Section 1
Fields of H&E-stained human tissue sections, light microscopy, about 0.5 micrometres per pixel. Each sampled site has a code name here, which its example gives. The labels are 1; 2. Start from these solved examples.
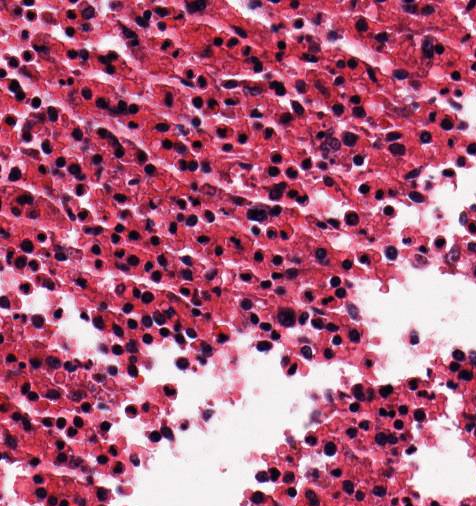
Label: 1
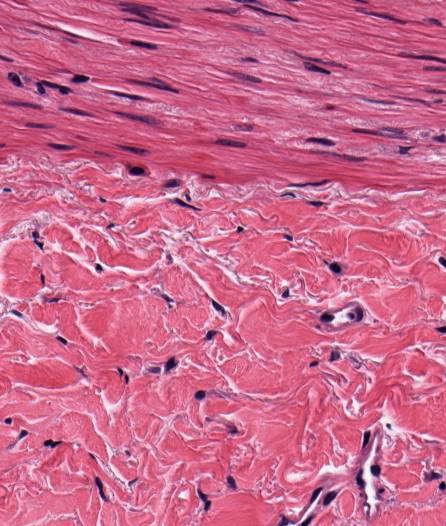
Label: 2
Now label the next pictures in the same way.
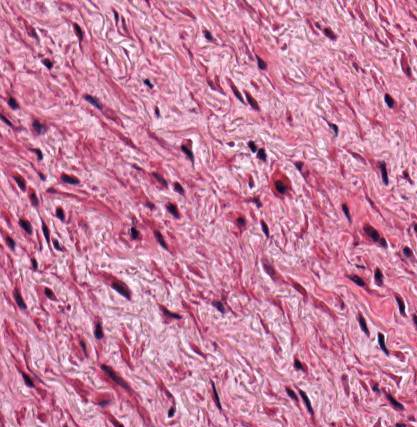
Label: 2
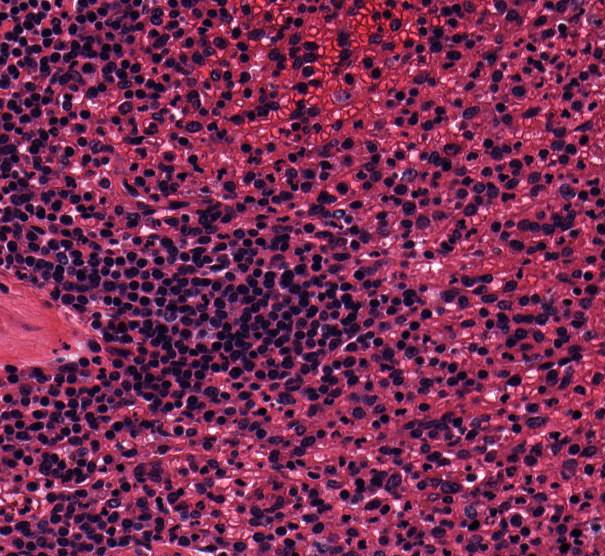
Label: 1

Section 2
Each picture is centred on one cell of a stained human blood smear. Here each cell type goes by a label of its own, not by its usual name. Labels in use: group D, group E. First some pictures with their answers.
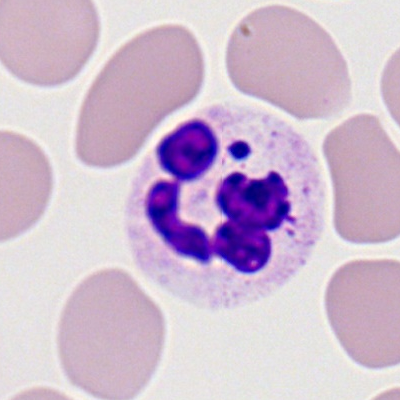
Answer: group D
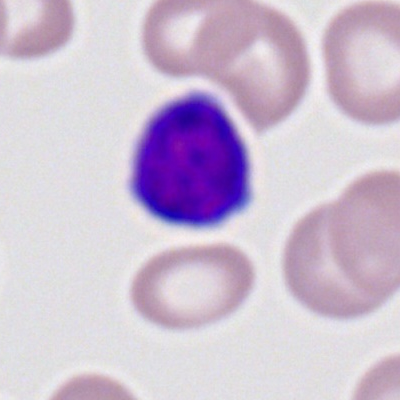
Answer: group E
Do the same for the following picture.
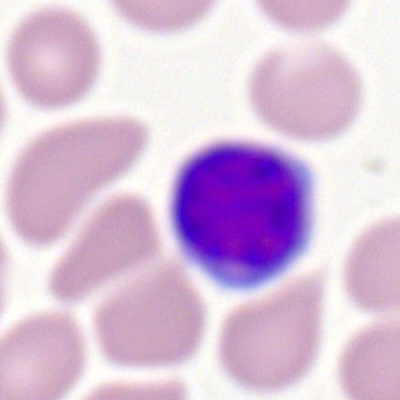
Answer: group E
